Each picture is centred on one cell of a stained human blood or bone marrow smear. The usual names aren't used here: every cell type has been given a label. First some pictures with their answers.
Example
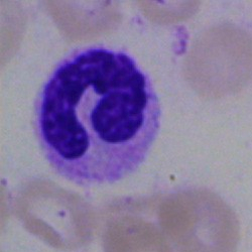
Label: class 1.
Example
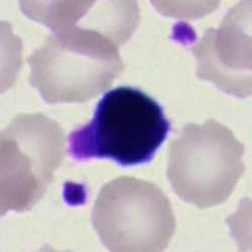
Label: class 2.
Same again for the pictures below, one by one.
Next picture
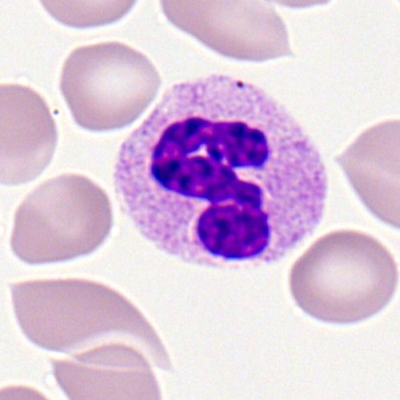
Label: class 1.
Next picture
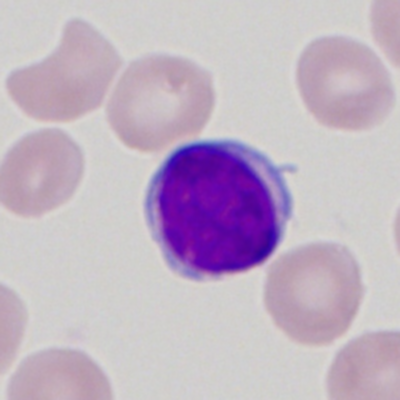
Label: class 2.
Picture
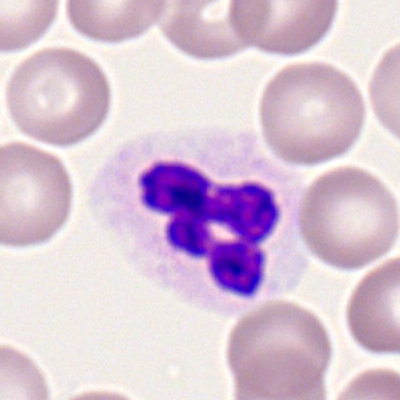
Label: class 1.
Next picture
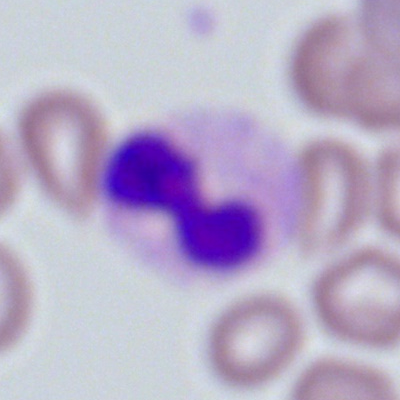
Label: class 1.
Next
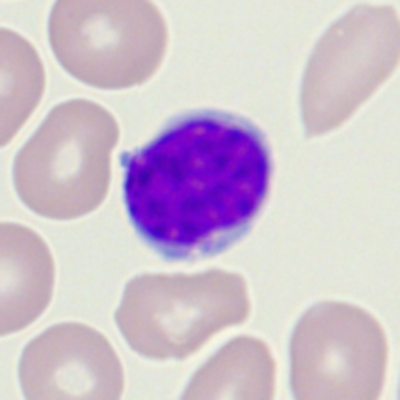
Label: class 2.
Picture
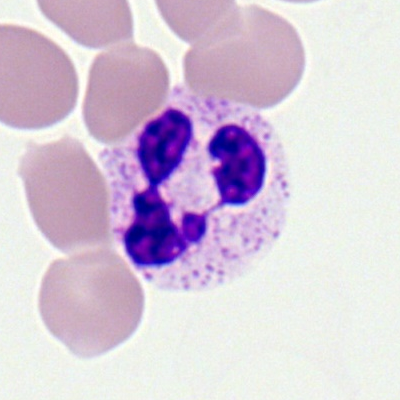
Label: class 1.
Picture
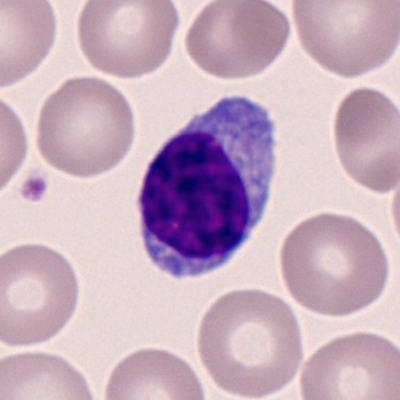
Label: class 2.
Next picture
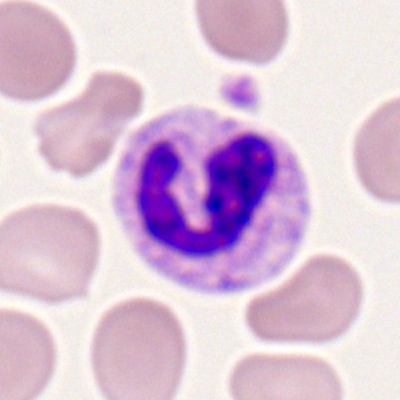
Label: class 1.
